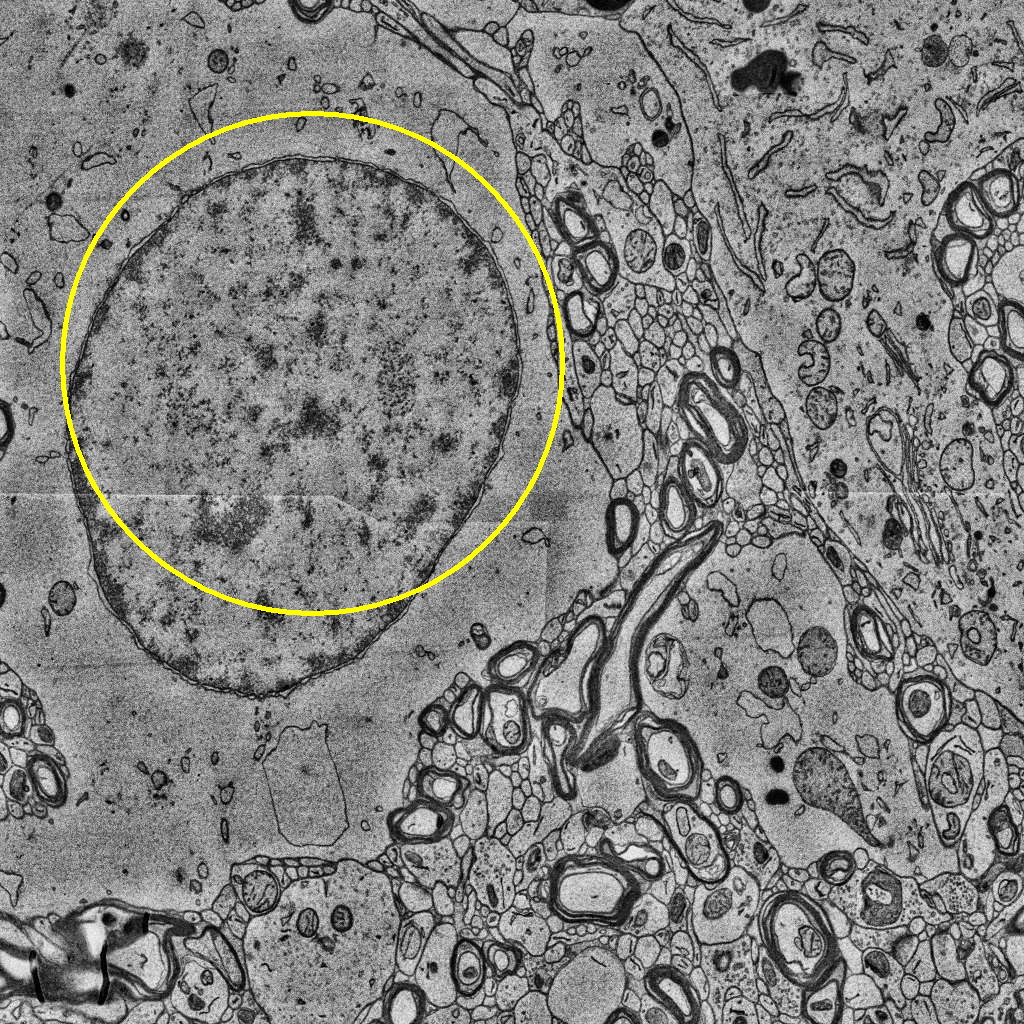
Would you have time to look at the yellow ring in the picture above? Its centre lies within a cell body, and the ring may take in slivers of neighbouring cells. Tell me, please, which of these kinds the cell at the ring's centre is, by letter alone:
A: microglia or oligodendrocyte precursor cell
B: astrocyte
B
